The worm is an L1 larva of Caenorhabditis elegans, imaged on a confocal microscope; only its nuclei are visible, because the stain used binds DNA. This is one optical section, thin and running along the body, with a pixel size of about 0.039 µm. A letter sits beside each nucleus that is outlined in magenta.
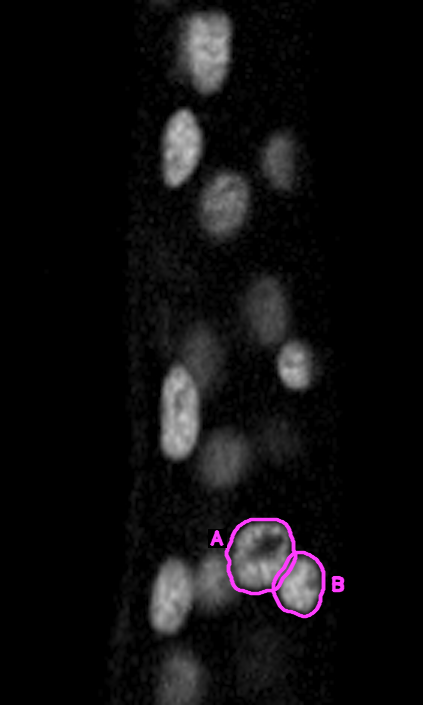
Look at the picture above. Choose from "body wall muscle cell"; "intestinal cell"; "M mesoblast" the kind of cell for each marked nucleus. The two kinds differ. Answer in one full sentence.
B belongs to a body wall muscle cell, and A to an M mesoblast.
